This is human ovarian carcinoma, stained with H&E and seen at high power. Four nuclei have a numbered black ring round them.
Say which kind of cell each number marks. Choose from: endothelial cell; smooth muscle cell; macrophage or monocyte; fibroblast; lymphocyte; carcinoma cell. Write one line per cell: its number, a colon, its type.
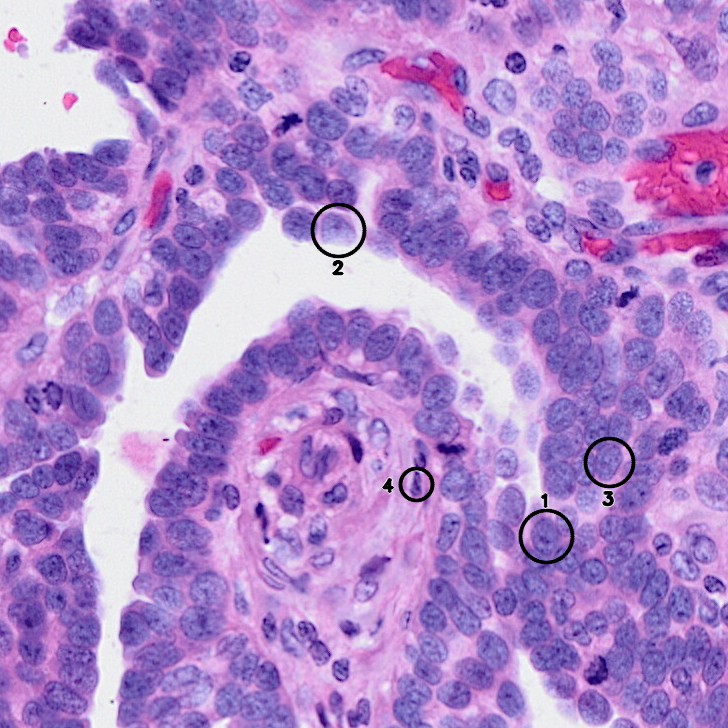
1: carcinoma cell
2: carcinoma cell
3: carcinoma cell
4: fibroblast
